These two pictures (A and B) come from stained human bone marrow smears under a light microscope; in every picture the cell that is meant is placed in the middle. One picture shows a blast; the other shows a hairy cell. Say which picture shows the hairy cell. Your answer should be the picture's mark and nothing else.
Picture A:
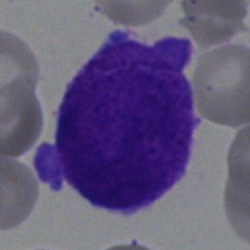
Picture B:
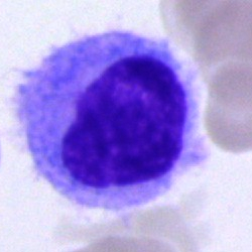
B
